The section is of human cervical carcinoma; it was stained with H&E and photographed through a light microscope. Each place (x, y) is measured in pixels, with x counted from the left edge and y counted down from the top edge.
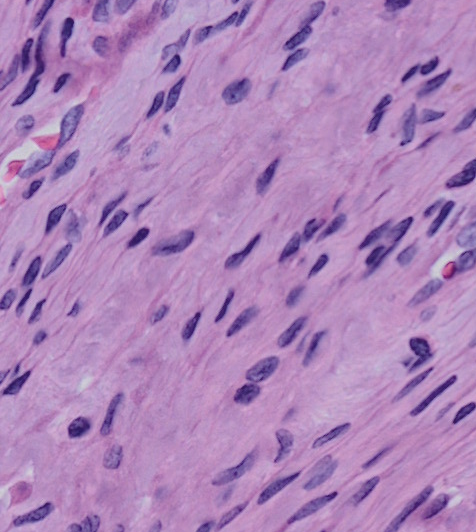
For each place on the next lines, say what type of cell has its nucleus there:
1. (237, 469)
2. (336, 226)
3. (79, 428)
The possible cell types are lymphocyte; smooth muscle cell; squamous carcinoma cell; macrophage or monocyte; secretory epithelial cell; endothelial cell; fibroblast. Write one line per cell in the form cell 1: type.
cell 1: fibroblast
cell 2: fibroblast
cell 3: lymphocyte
